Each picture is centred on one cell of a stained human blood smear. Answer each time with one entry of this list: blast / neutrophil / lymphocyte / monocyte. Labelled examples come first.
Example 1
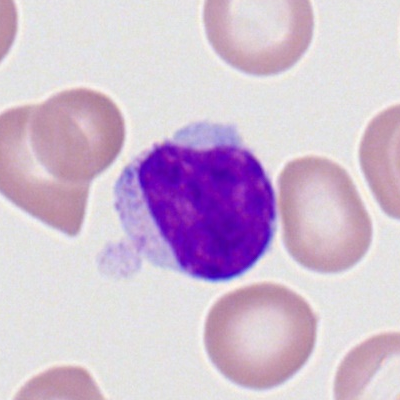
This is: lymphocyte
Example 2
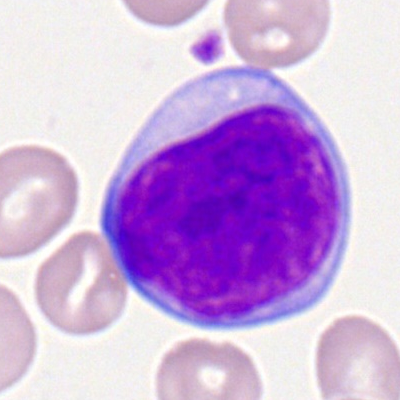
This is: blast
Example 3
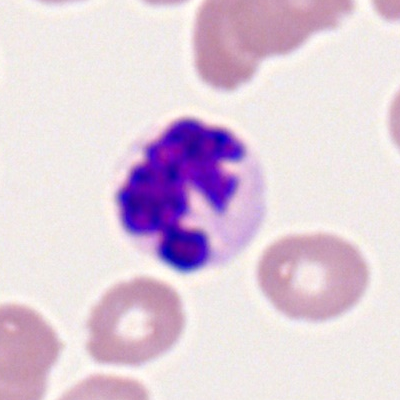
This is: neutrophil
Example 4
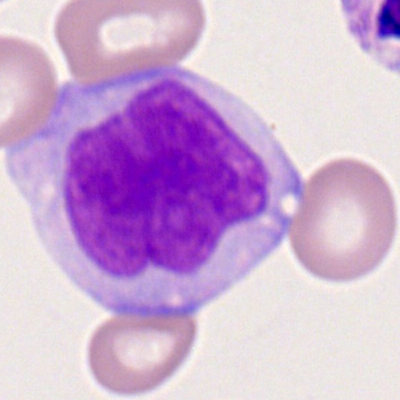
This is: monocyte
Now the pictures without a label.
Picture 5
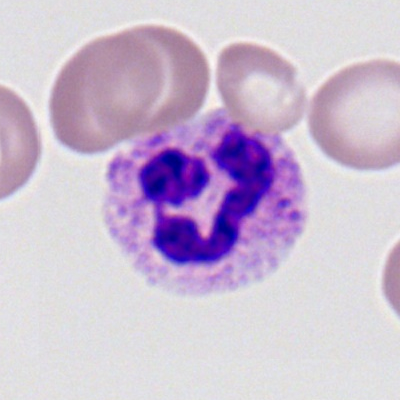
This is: neutrophil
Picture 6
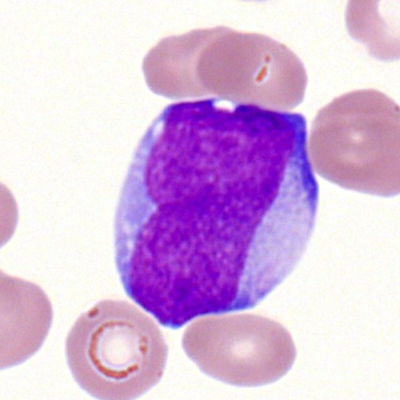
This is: blast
